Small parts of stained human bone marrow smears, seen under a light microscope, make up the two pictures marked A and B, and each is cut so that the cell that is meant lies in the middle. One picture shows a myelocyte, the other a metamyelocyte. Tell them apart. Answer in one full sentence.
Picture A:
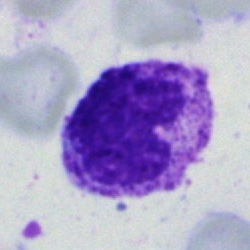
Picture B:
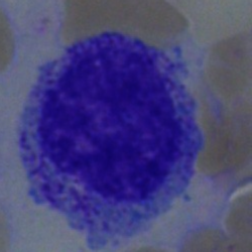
Picture A is of a metamyelocyte, and picture B is of a myelocyte.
